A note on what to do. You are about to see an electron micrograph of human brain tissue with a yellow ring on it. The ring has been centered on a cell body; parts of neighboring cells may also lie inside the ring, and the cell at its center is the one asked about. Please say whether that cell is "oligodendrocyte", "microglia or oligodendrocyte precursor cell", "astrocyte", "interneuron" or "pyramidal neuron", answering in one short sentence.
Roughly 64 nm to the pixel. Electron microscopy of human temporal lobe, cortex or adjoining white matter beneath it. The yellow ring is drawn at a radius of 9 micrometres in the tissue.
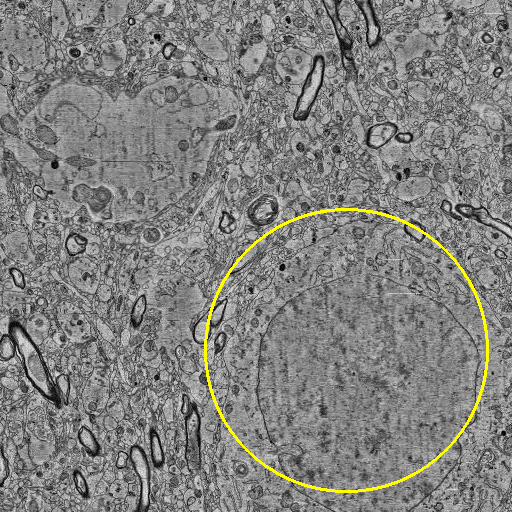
The yellow ring sits on a pyramidal neuron.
